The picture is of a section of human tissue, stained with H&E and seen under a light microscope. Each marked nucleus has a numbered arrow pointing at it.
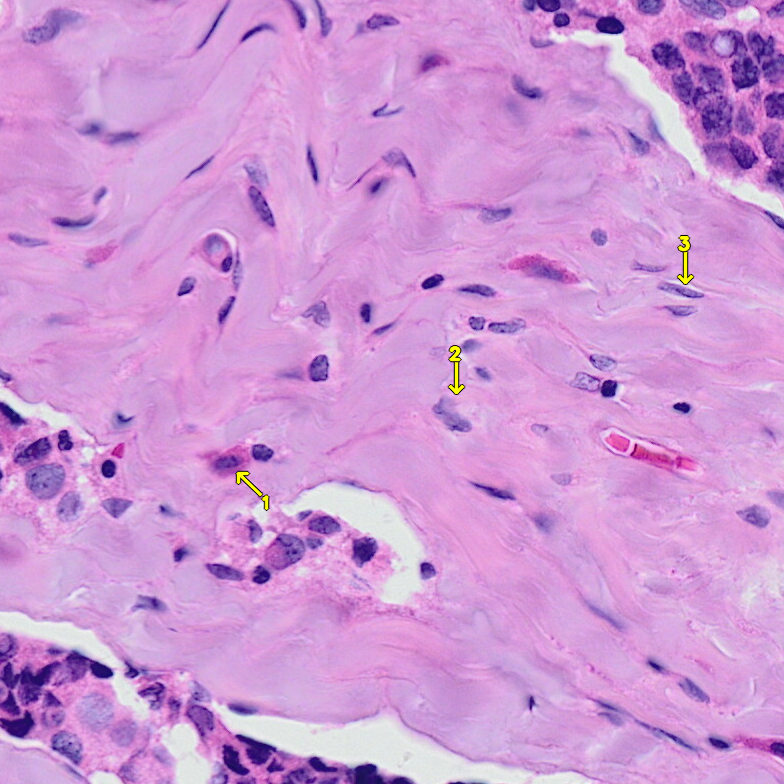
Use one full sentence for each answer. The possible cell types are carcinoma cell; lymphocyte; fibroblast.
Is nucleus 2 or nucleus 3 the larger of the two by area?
The larger nucleus is 2, at roughly 2.5 times the area of 3.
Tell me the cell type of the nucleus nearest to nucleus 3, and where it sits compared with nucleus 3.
The nearest one is a fibroblast, found below nucleus 3.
